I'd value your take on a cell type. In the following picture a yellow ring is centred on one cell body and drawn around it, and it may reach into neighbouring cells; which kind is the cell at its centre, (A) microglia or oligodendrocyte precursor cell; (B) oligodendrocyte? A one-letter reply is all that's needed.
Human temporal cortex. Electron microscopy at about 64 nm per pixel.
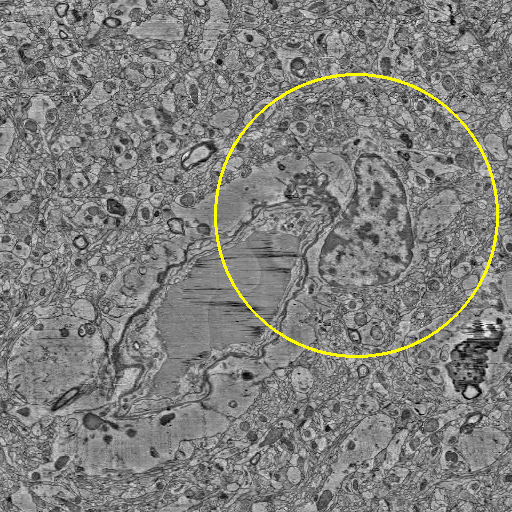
A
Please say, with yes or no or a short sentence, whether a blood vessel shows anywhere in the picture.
Yes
